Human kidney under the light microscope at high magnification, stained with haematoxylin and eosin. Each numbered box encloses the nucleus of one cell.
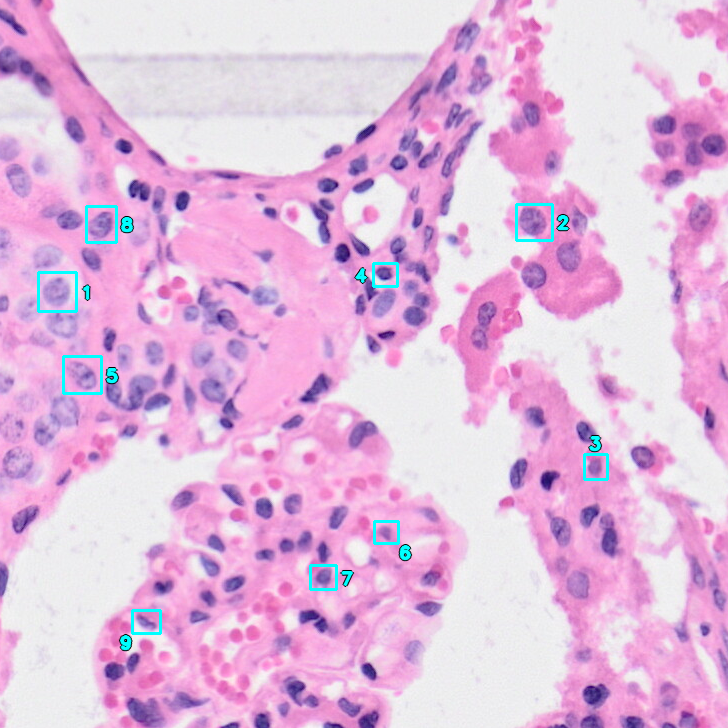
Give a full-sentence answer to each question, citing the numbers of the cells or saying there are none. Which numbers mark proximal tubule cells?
Cell 2 is a proximal tubule cell and is the only numbered cell of that kind.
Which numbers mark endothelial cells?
The cells tagged with numbers 3, 4, 6, 7 and 9 are endothelial cells.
